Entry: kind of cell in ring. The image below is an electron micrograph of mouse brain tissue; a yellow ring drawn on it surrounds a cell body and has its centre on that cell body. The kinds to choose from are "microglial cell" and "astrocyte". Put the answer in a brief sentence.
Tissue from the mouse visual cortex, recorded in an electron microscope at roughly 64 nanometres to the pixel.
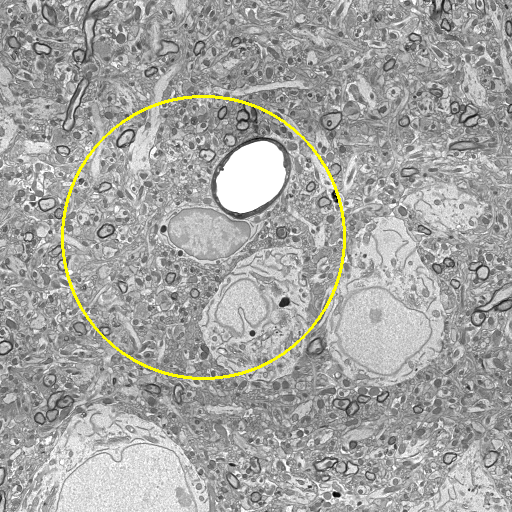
The ring has been drawn around a microglial cell.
